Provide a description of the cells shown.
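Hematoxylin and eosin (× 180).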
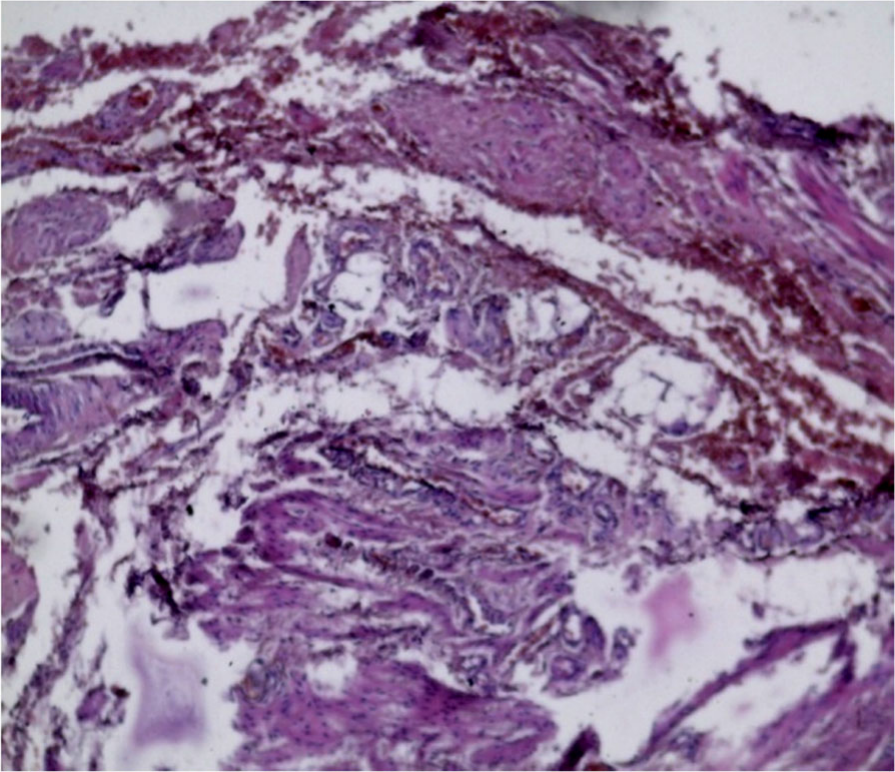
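This is a section of fragmented tissue in which small tubules are seen among bands of pink-stained stroma. Near the middle there is a cluster of small tubular profiles lined by cells with purple nuclei, and several of them enclose open, pale spaces. Pale pink, almost structureless patches sit in some of the open spaces near the bottom.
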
